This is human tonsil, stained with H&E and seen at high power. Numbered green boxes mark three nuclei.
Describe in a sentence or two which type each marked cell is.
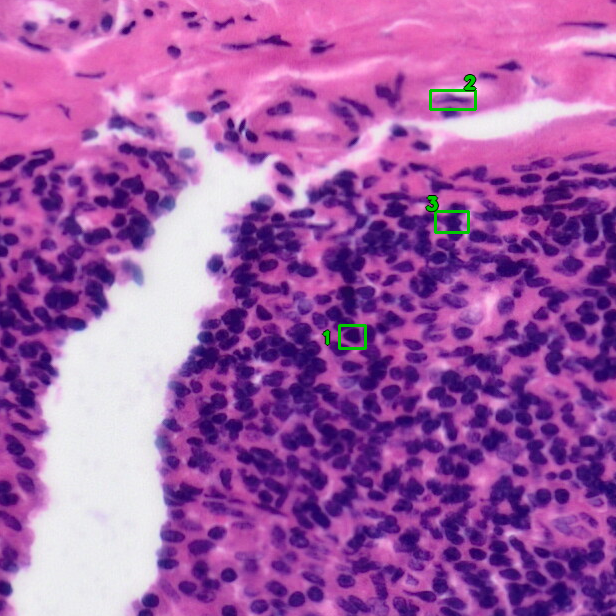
Cell 1 is a small lymphocyte, cell 2 is an endothelial cell and cell 3 is a small lymphocyte.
